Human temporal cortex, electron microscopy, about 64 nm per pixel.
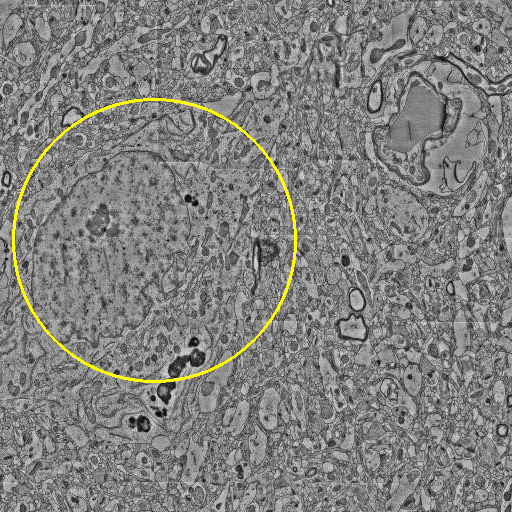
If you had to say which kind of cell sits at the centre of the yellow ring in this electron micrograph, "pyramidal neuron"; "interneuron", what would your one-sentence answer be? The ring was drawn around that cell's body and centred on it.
The cell sitting at the centre of the ring is an interneuron.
